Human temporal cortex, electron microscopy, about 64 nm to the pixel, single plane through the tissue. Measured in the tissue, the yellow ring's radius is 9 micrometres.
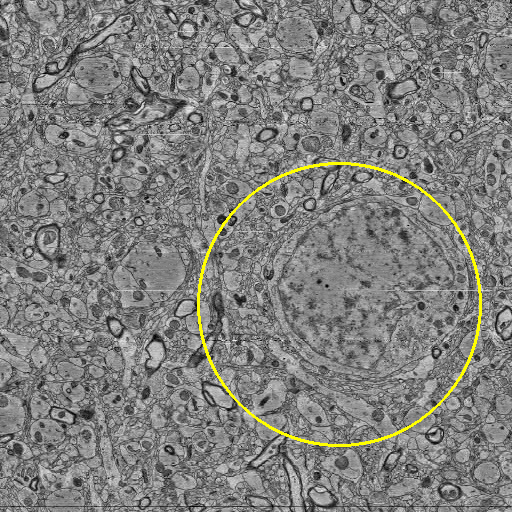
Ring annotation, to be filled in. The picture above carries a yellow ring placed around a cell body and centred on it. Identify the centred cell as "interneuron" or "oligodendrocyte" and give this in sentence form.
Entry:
The cell in the middle of the ring is an interneuron.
